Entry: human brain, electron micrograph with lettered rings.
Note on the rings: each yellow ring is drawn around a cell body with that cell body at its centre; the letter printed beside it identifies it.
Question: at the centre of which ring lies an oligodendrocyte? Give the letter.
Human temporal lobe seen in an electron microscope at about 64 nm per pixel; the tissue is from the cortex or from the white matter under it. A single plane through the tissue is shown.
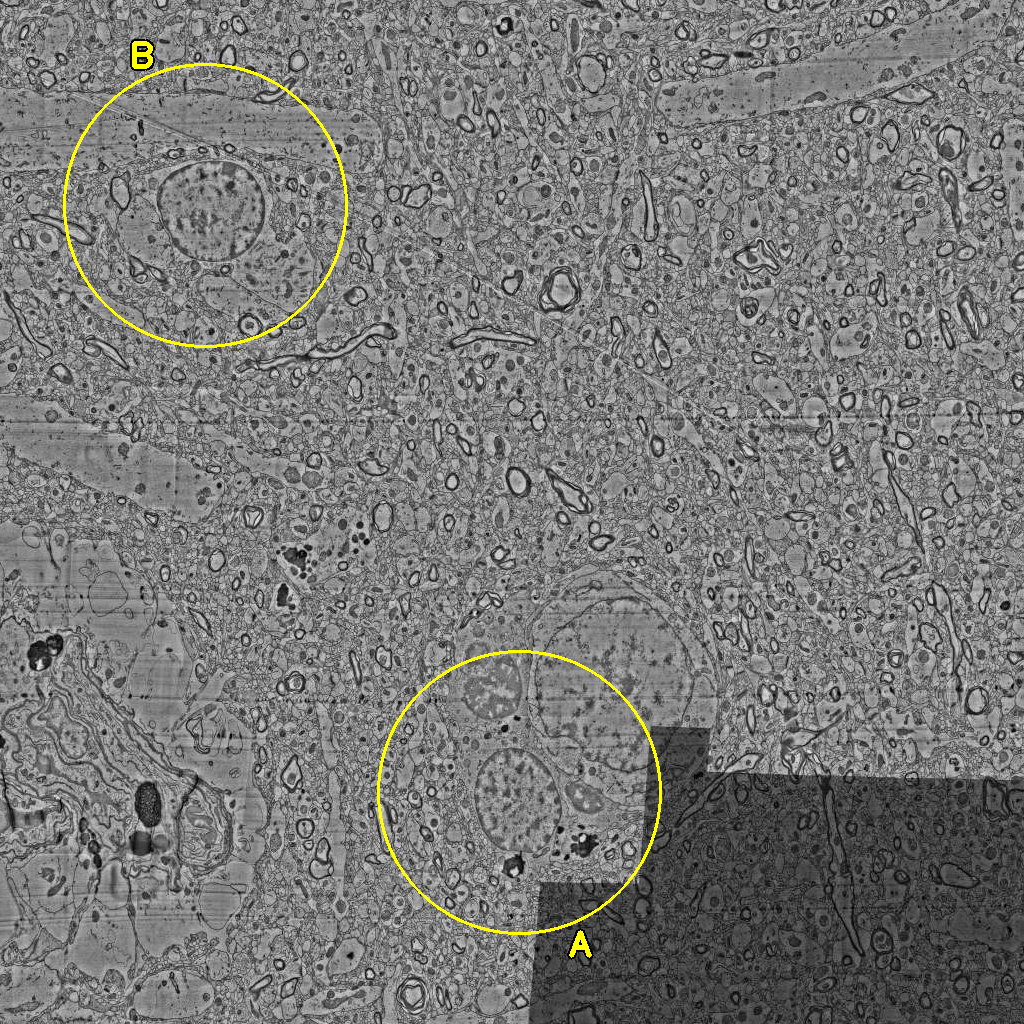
A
